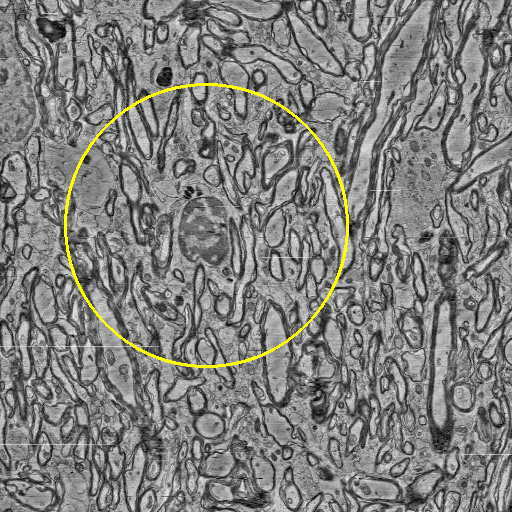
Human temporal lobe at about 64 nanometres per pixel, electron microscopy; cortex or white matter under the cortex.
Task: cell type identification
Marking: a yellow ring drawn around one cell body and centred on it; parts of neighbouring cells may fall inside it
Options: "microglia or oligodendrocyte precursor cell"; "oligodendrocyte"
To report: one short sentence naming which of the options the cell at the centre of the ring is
The cell at the centre of the ring is a microglial cell or oligodendrocyte precursor cell.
